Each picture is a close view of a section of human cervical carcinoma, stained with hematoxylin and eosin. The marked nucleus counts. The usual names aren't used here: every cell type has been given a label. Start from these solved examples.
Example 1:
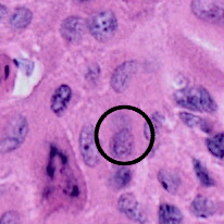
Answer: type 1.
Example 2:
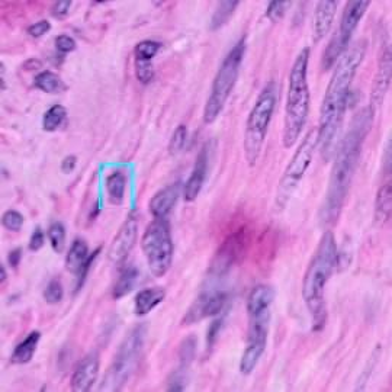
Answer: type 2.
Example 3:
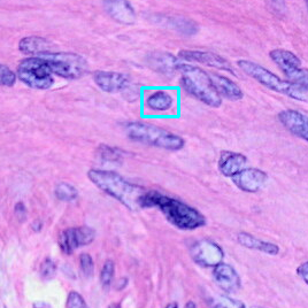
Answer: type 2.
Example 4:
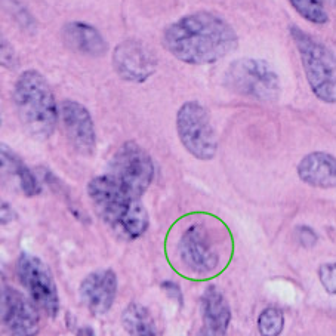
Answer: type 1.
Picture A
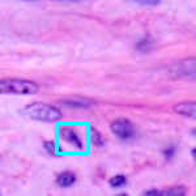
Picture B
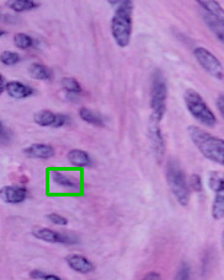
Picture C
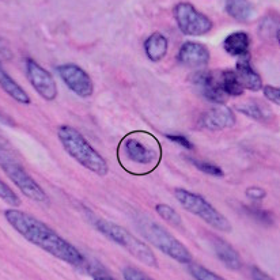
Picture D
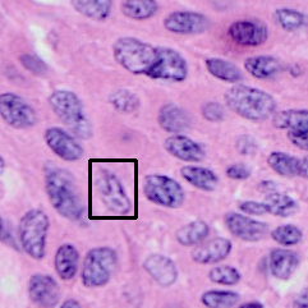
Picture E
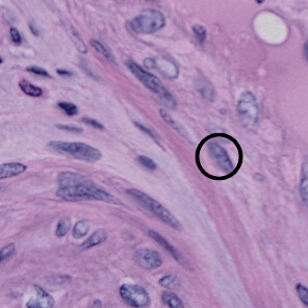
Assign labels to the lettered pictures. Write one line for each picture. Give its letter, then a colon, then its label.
A: type 2.
B: type 2.
C: type 2.
D: type 1.
E: type 2.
